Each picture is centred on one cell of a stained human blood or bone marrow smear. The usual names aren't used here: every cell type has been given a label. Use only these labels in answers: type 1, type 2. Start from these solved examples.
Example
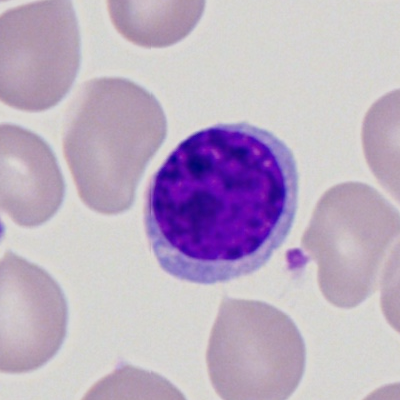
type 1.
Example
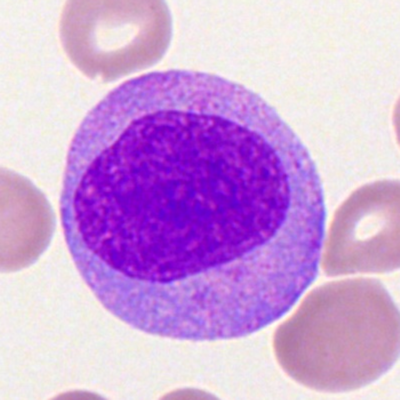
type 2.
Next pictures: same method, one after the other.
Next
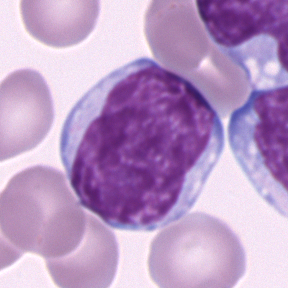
type 2.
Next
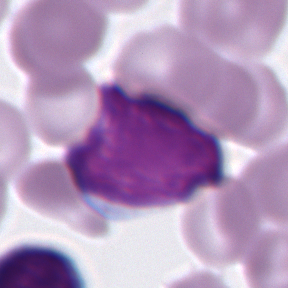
type 1.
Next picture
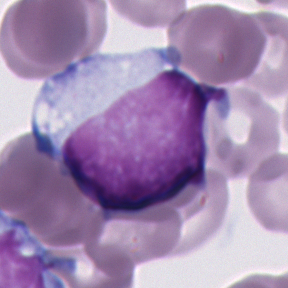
type 2.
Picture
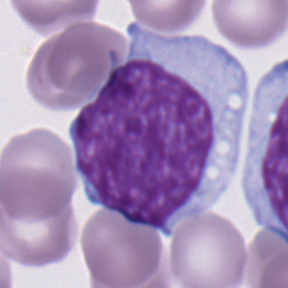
type 2.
